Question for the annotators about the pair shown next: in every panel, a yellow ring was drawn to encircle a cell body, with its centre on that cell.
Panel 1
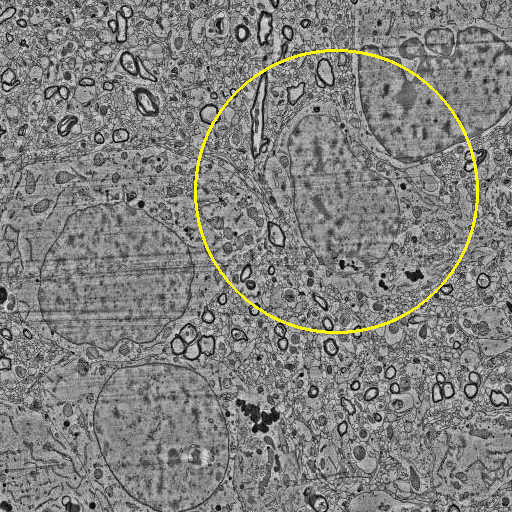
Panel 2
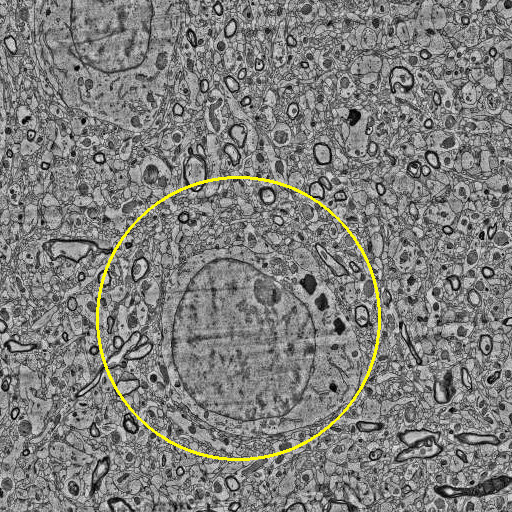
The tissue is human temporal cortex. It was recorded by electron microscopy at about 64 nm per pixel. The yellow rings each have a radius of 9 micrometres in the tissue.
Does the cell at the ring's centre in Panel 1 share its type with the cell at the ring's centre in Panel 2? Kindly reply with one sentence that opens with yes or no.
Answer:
Yes, in Panels 1 and 2 the cells at the ring centres belong to a single type.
